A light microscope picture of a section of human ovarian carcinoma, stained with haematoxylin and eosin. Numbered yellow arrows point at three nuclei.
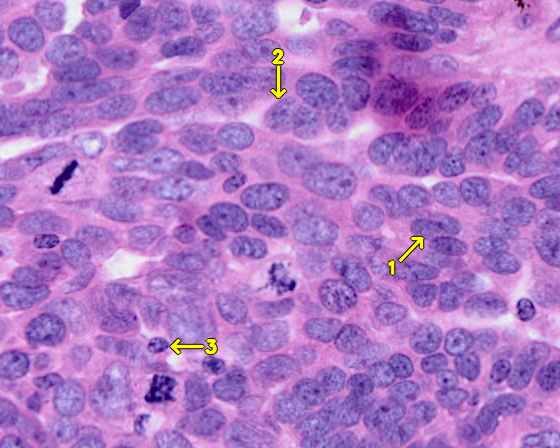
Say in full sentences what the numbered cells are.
Cell 1 is a carcinoma cell, cell 2 is a carcinoma cell and cell 3 is a lymphocyte.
